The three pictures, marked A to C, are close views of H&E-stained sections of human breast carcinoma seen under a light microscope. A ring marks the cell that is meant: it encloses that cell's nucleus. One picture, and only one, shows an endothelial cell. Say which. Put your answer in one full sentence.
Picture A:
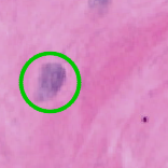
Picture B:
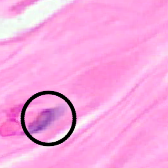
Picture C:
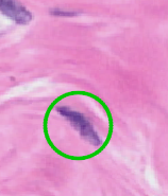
The picture with the endothelial cell is B.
